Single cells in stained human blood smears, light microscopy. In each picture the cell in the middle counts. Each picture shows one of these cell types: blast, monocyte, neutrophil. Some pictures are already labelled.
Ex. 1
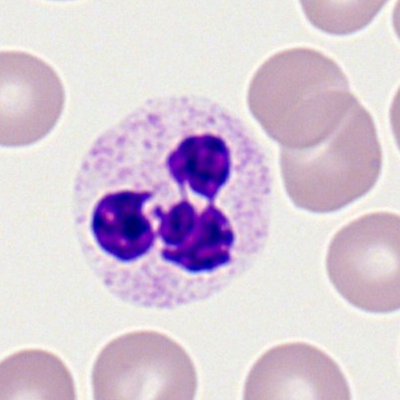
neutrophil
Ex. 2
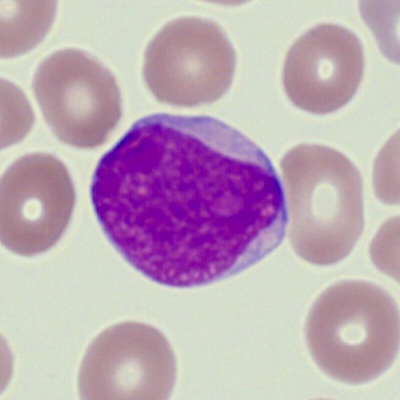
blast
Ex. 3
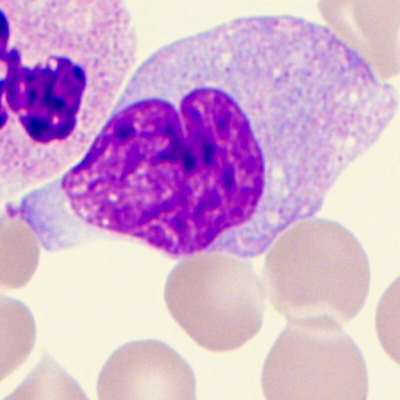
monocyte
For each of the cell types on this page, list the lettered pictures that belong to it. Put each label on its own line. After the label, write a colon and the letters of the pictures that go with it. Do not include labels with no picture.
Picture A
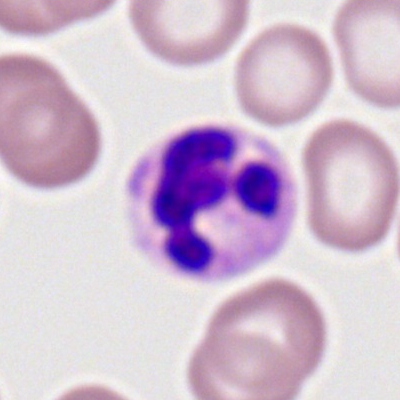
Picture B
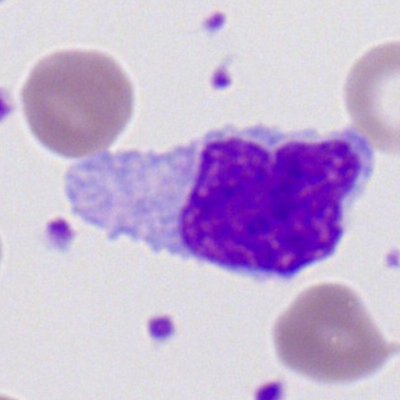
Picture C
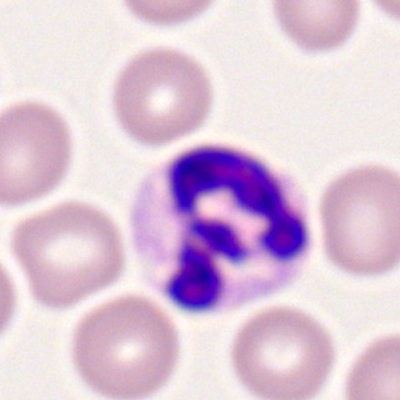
monocyte: B
neutrophil: A, C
